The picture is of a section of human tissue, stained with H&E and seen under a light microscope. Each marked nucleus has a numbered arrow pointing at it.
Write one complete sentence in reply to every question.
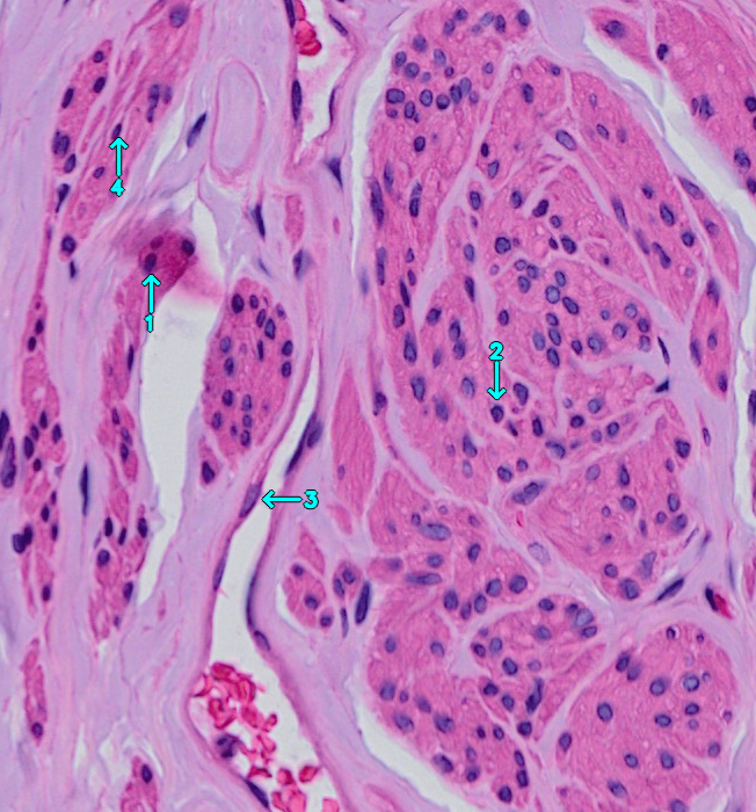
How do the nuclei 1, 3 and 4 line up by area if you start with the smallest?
Smallest first, the nuclei run 4, 1, 3.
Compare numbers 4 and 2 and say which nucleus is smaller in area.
The smaller nucleus is 4, and 2 covers roughly 2 times its area.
